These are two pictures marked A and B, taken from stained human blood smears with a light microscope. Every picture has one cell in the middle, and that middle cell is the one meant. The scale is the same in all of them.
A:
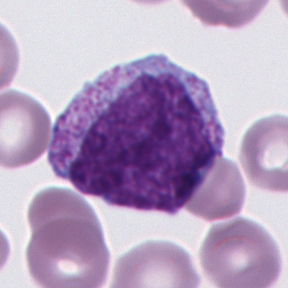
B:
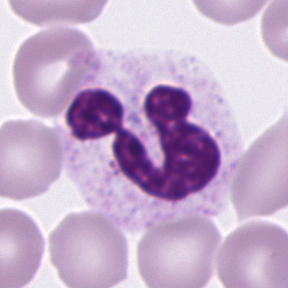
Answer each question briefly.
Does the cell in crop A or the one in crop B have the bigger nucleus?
A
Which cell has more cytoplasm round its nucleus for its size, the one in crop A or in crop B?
B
